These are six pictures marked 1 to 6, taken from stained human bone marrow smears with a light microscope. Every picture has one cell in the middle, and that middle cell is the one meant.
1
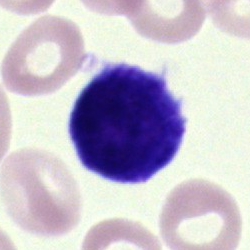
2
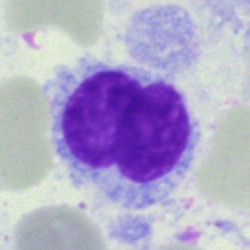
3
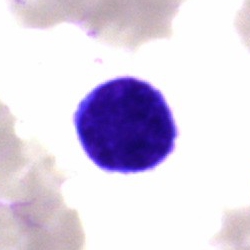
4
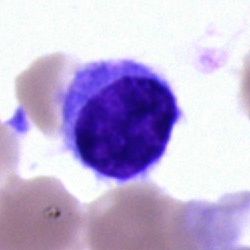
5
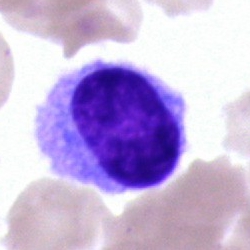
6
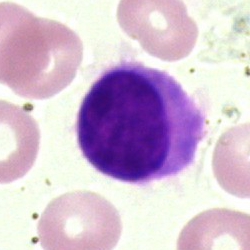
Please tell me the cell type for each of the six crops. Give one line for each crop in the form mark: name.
1: lymphocyte
2: hairy cell
3: lymphocyte
4: hairy cell
5: hairy cell
6: hairy cell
